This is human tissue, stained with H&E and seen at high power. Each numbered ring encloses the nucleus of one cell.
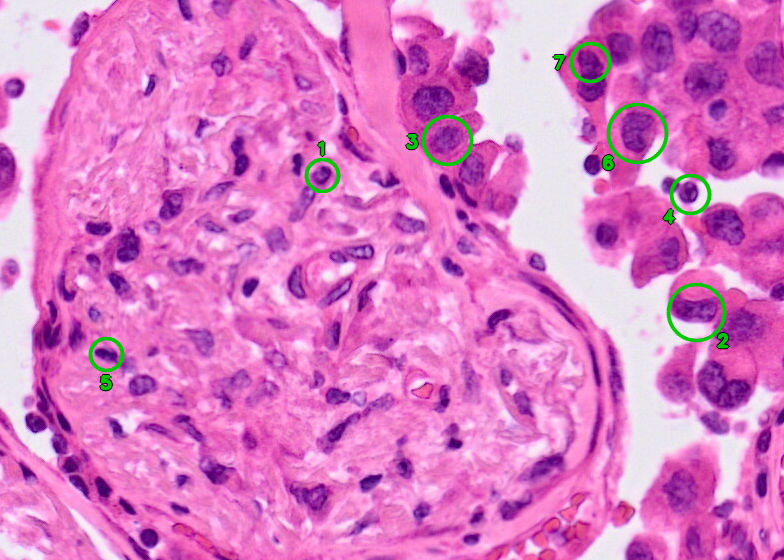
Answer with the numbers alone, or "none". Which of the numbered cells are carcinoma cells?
2, 3, 6, 7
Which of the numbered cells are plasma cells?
1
